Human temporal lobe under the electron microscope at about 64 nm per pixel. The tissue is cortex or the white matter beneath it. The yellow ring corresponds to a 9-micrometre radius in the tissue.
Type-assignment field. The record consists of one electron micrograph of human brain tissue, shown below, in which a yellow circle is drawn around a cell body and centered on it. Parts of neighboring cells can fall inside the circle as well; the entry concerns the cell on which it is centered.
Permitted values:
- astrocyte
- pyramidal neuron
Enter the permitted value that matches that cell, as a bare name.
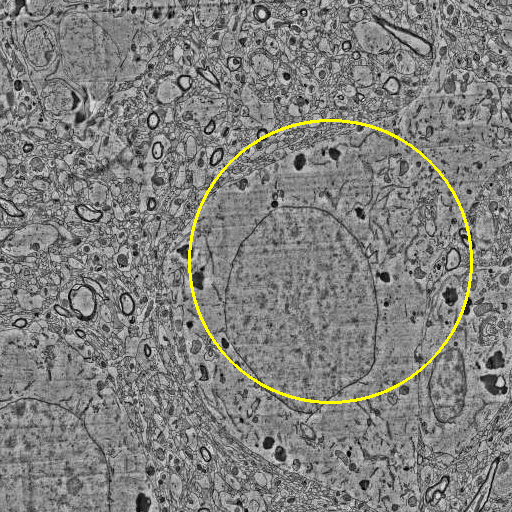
pyramidal neuron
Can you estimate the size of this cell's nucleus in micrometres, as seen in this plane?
Roughly 13 micrometres by 10 micrometres, in this plane.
